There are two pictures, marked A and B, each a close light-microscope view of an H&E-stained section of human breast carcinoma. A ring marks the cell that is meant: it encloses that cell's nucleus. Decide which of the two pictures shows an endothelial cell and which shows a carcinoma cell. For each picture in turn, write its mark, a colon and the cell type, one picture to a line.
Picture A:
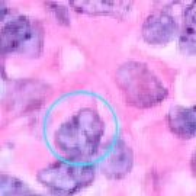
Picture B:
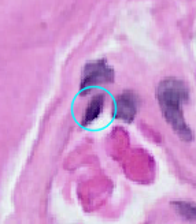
A: carcinoma cell
B: endothelial cell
